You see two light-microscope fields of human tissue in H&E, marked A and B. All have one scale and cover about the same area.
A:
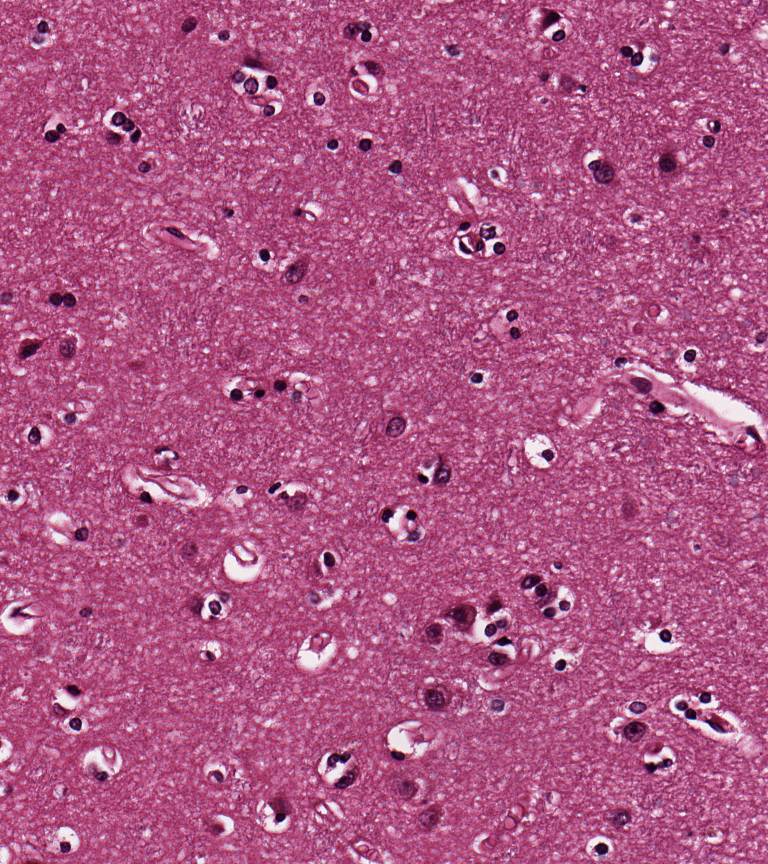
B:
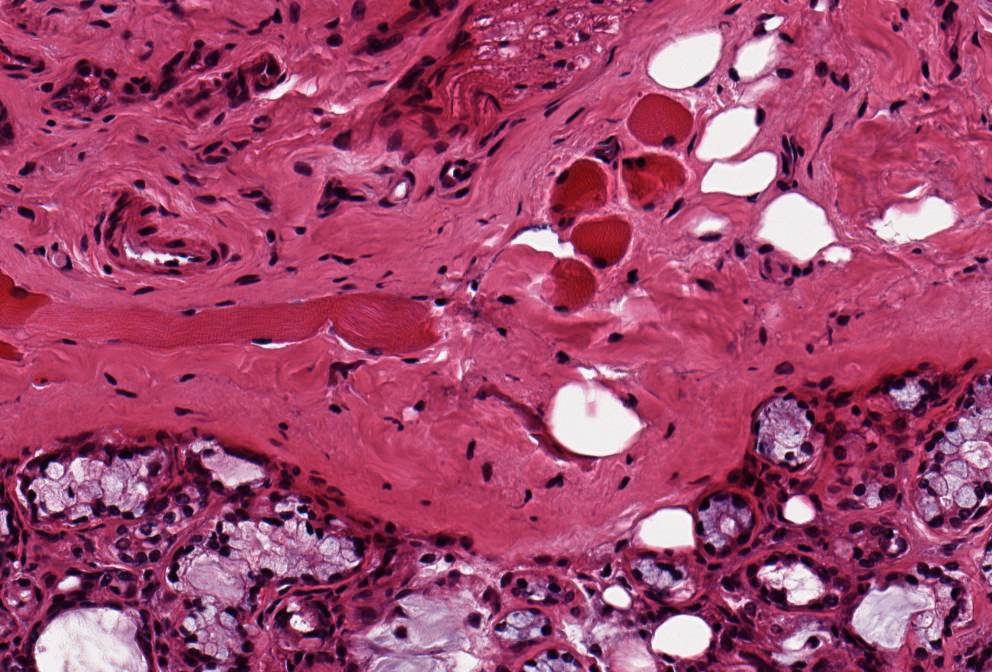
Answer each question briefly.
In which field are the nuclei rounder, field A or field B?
A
